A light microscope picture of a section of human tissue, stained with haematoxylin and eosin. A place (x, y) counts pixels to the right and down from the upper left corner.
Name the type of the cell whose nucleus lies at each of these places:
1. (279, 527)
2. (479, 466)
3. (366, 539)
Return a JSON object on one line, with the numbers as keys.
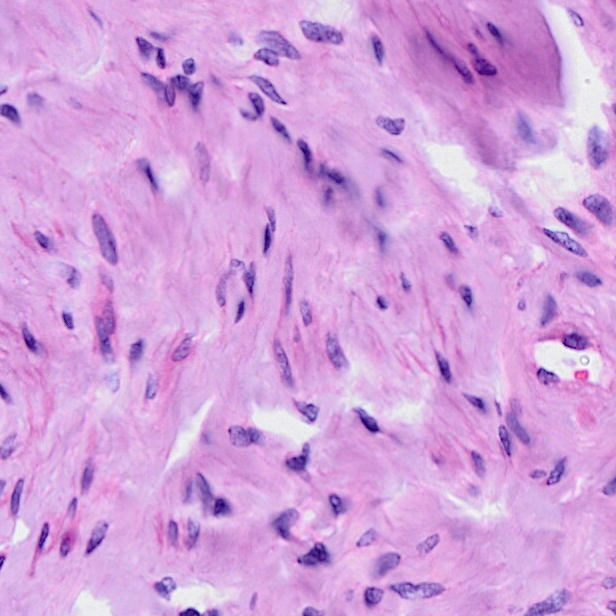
{"1": "fibroblast", "2": "smooth muscle cell", "3": "fibroblast"}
